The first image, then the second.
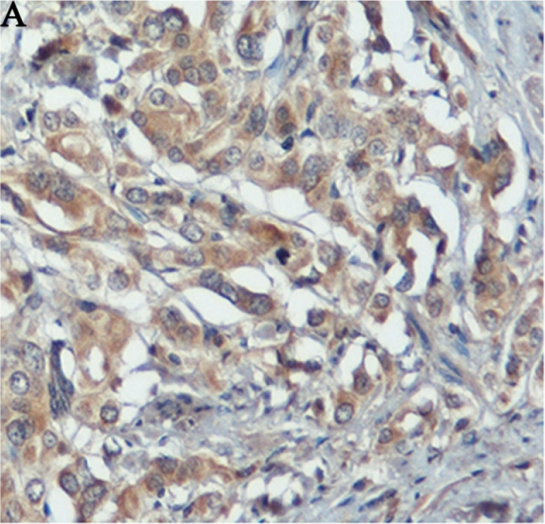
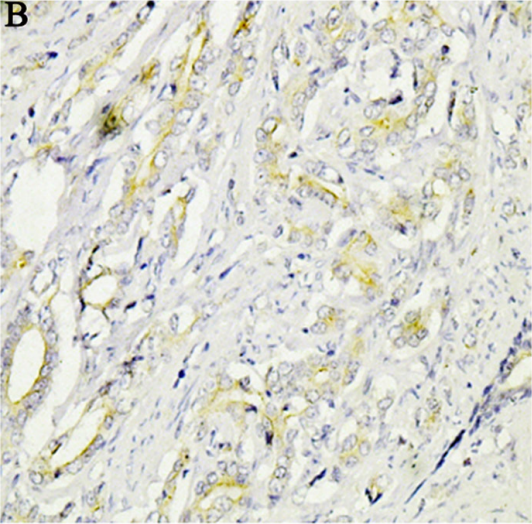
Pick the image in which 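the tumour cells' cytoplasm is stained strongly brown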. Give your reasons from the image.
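The first image. Second image: only faint yellowish staining here and there, most cells pale. First image: most tumour cells have diffusely brown cytoplasm.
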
